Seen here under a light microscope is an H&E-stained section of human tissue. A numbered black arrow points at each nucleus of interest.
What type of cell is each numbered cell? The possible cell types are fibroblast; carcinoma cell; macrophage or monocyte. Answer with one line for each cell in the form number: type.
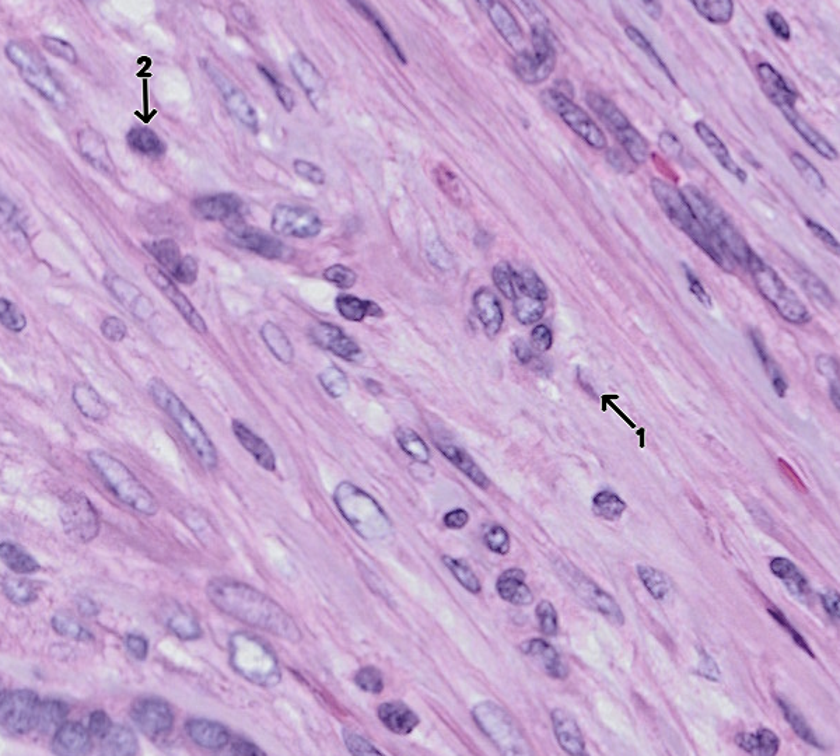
1: fibroblast
2: macrophage or monocyte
